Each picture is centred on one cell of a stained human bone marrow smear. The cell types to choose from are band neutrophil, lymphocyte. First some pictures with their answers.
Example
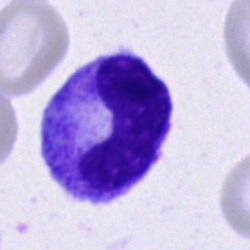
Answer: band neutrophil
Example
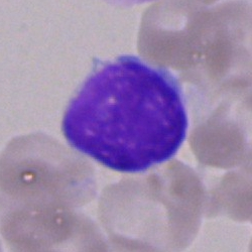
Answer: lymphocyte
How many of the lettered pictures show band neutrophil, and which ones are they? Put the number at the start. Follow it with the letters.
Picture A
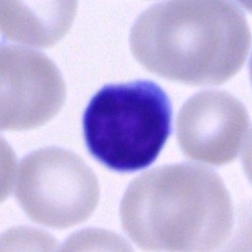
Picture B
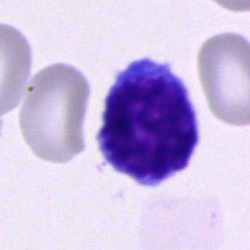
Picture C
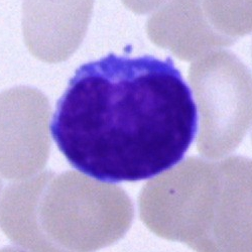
0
